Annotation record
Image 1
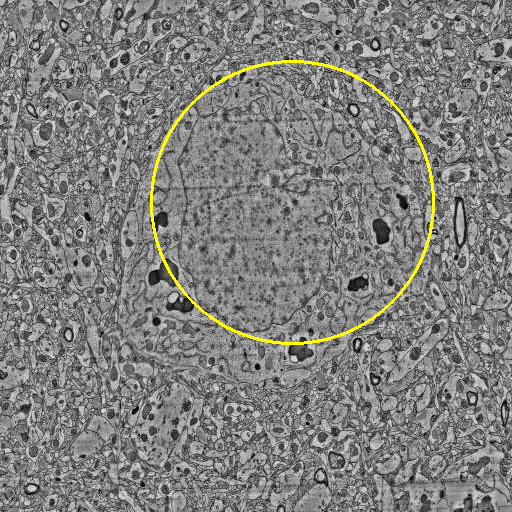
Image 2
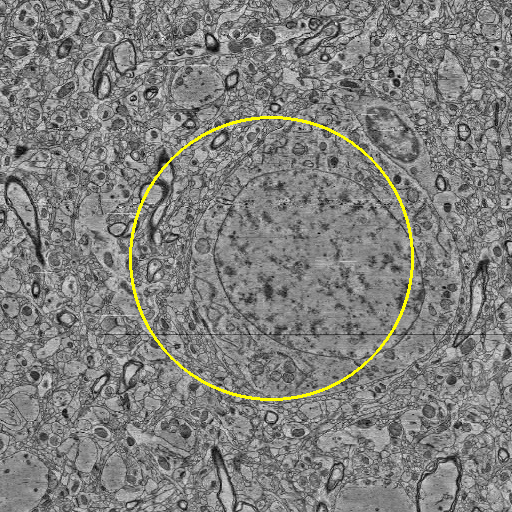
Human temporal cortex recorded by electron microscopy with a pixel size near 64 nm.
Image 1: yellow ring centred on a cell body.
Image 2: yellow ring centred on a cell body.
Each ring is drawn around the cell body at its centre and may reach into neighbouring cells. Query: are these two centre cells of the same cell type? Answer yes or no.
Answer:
no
